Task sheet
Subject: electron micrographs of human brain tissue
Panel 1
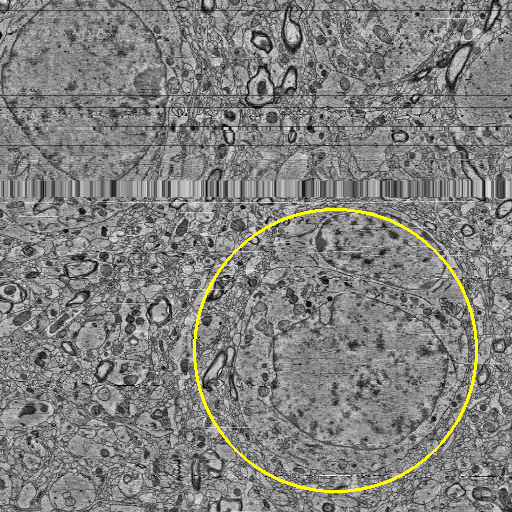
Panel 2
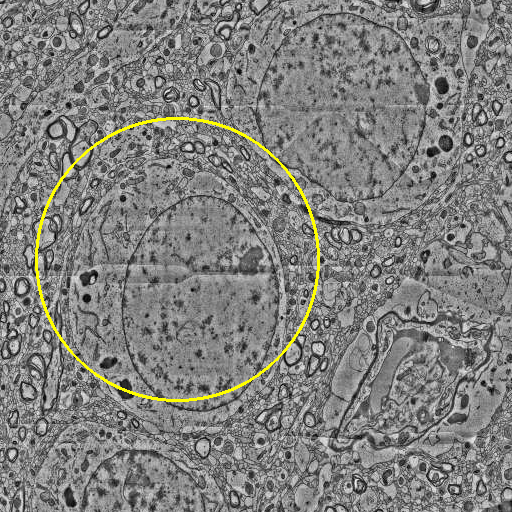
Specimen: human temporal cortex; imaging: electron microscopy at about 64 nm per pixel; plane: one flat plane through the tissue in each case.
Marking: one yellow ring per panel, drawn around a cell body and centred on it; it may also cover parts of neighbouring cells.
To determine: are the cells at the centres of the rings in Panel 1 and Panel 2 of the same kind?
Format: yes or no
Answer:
no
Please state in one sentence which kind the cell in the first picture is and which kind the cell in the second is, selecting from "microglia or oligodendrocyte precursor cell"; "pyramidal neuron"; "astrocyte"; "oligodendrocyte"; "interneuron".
The first ringed cell is an interneuron, the second ringed cell a pyramidal neuron.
